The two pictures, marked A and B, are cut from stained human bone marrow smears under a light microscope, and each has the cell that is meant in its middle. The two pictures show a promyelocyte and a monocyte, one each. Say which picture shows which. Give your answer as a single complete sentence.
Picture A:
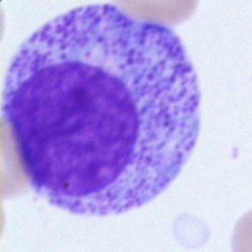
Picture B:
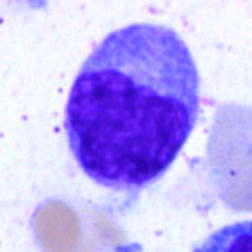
Picture A shows a promyelocyte and picture B shows a monocyte.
